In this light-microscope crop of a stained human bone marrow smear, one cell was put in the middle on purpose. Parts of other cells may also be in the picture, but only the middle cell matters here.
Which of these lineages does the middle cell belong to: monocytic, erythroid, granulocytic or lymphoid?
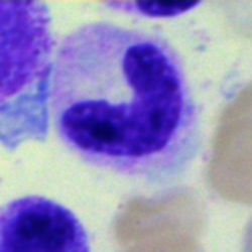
granulocytic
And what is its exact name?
band neutrophil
